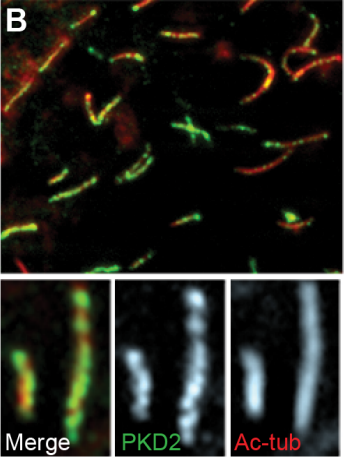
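Along many of them the green label runs almost continuously, so that where the two colours overlap the cilia look yellow. Some cilia are straight, others bent or curved, and they lie at various angles to one another. In the enlarged view below, two cilia lie side by side, and the green follows the red shaft along nearly its whole length as a beaded line.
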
